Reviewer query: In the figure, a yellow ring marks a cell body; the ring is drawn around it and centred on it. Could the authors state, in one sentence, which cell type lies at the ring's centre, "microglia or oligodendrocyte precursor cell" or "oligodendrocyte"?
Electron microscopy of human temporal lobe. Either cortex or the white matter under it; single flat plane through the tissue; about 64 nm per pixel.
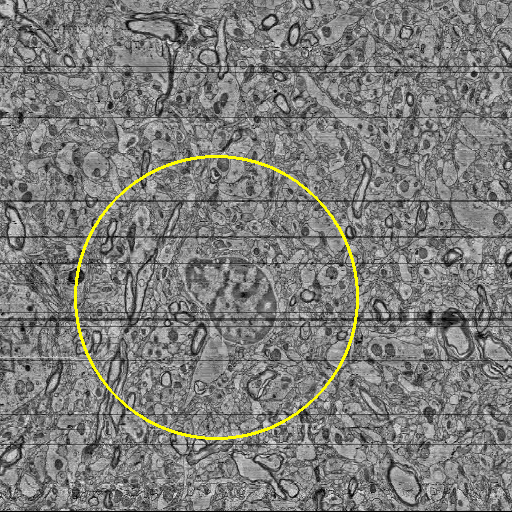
The ring is centred on a microglial cell or oligodendrocyte precursor cell.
